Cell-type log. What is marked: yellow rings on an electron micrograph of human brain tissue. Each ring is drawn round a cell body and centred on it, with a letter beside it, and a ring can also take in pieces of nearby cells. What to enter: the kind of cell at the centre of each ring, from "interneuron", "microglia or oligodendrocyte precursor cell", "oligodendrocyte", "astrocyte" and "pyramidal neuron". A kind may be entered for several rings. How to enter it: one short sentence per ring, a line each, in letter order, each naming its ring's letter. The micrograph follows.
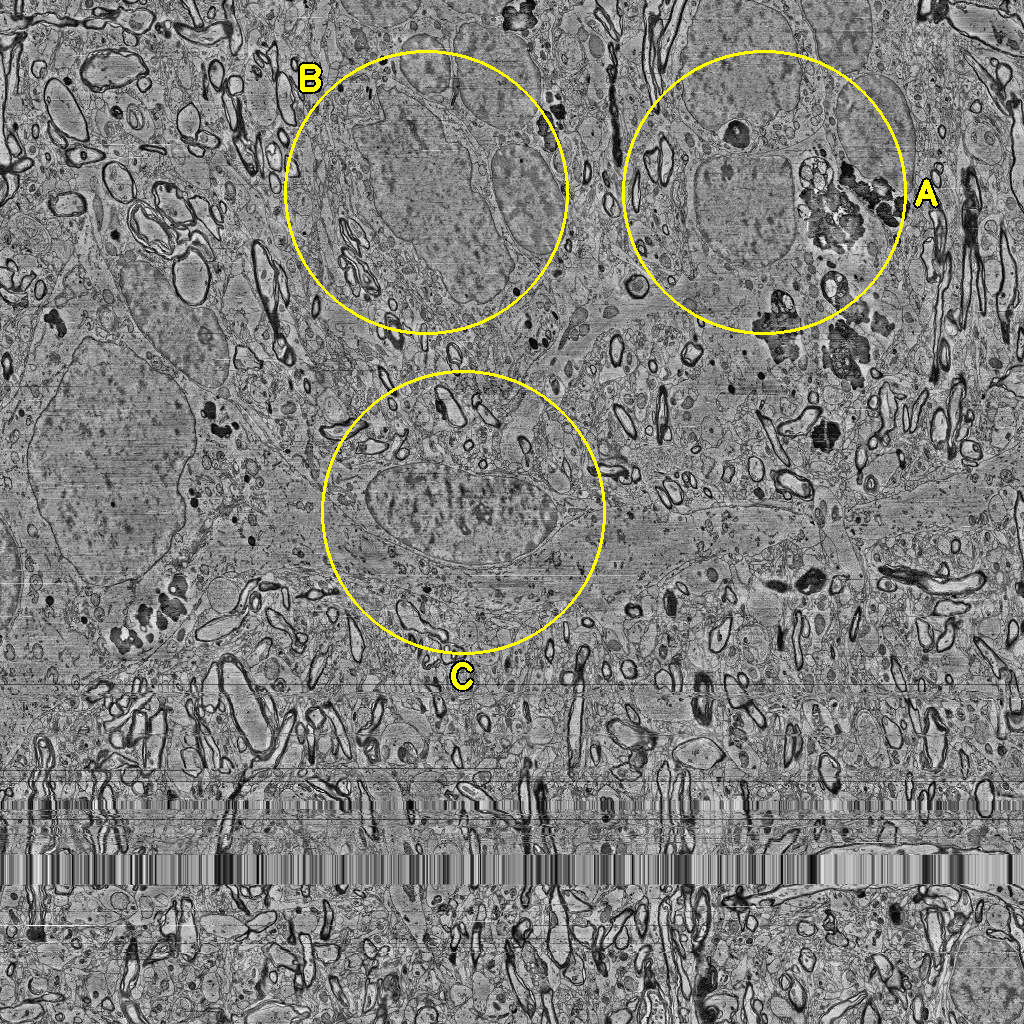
For ring A, the centre cell is an astrocyte.
For ring B, the centre cell is an interneuron.
For ring C, the centre cell is a microglial cell or oligodendrocyte precursor cell.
